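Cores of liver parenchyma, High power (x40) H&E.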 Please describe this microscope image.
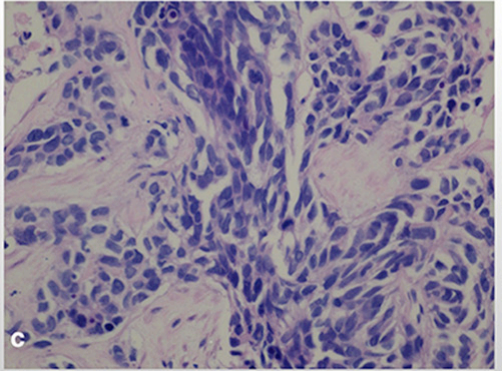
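Malignant epithelioid tumour cells are packed in crowded groups and streams between strands of pale pink fibrous stroma. The nuclei are dark purple and hyperchromatic, and they vary markedly in size and shape: some are oval, others elongated or spindled, and many overlap. Each nucleus is surrounded by only a thin rim of pale cytoplasm, and the borders between neighbouring cells cannot be made out clearly. Pale pink collagenous stroma with few cells lies between the cell groups. Small clear clefts separate some cell groups from the stroma.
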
